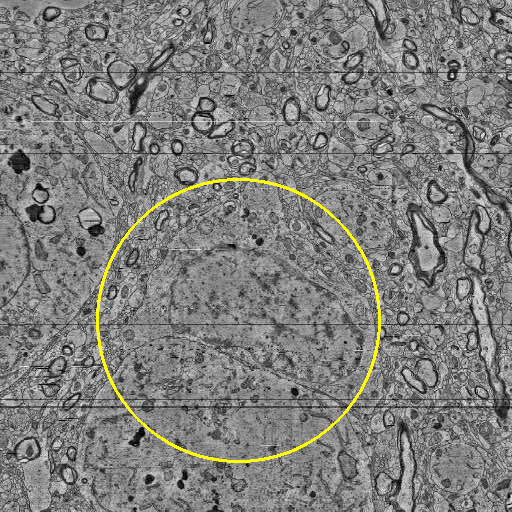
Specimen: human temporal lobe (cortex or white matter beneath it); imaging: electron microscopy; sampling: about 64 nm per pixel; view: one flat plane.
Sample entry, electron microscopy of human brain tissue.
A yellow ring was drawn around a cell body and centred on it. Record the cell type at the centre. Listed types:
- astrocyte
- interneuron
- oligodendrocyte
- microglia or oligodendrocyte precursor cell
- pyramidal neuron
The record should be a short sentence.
The cell at the ring's centre is an interneuron.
